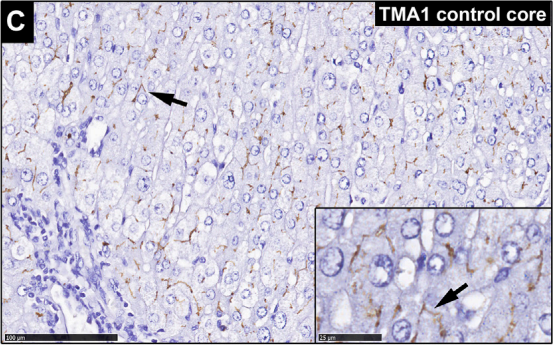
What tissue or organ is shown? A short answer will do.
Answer: Normal liver tissue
